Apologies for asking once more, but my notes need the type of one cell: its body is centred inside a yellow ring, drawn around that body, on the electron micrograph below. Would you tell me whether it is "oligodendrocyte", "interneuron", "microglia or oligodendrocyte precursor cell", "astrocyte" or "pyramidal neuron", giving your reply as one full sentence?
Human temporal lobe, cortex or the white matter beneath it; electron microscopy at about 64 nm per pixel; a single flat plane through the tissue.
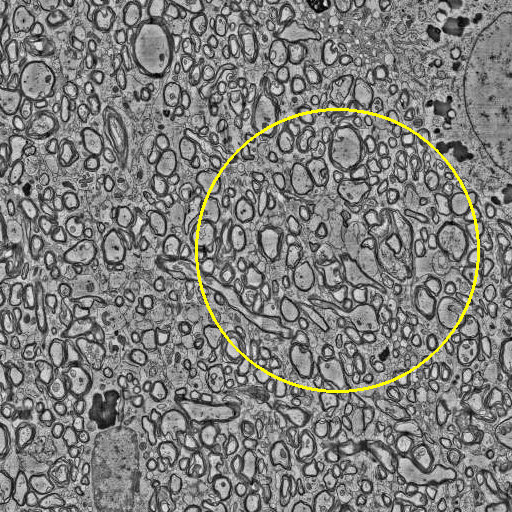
The cell that the yellow ring is centred on is a microglial cell or oligodendrocyte precursor cell in this micrograph.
